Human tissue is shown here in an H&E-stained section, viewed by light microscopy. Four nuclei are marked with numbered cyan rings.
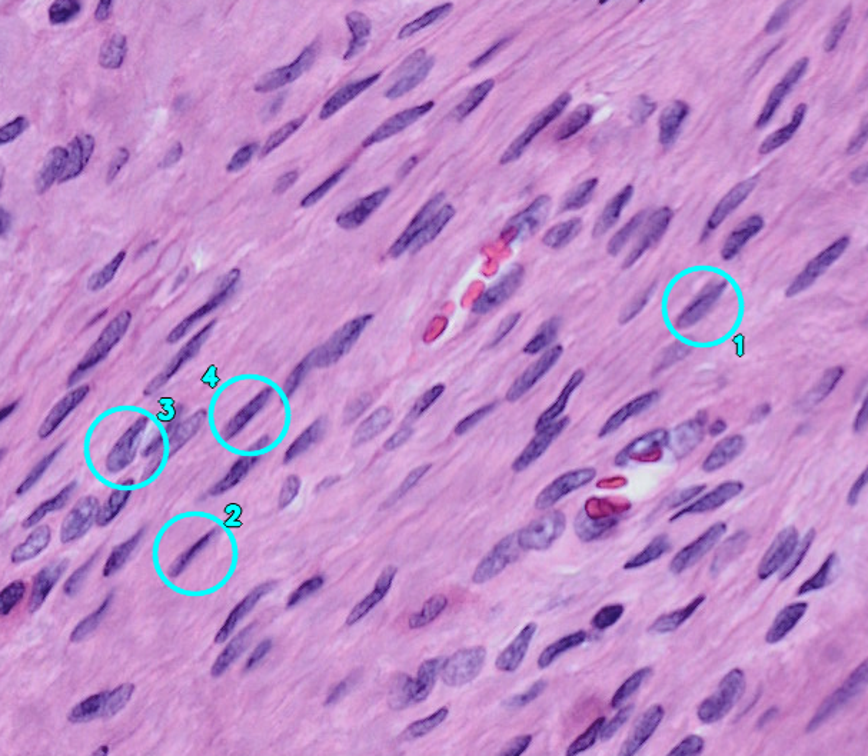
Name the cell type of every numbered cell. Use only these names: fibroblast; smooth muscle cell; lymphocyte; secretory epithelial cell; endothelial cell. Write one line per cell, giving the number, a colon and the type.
1: fibroblast
2: fibroblast
3: endothelial cell
4: fibroblast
